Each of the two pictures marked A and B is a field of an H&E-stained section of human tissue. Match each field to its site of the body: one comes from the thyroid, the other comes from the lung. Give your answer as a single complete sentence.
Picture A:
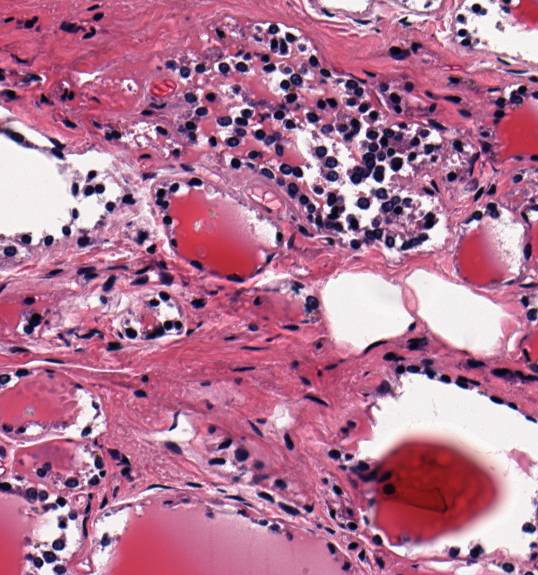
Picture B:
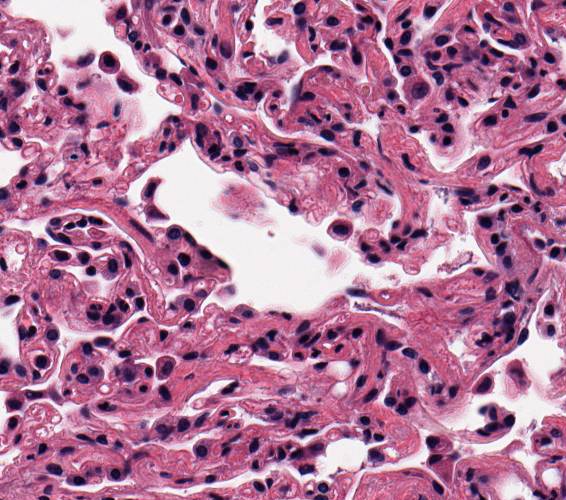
Picture A comes from the thyroid; picture B comes from the lung.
